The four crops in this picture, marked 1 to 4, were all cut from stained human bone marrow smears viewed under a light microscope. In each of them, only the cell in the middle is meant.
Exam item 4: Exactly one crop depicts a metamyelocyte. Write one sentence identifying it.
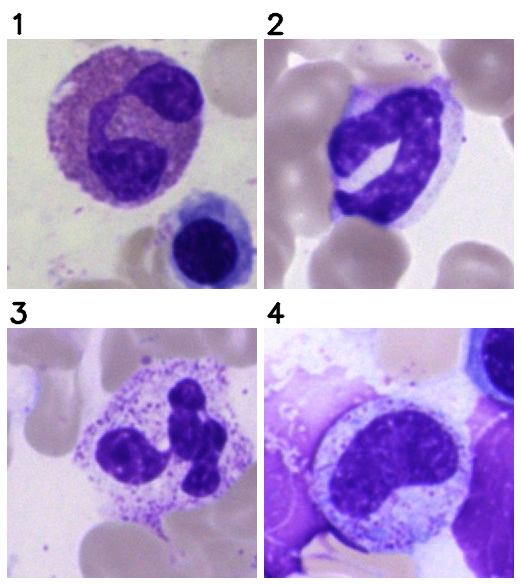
It is the cell in crop 4 that is a metamyelocyte.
